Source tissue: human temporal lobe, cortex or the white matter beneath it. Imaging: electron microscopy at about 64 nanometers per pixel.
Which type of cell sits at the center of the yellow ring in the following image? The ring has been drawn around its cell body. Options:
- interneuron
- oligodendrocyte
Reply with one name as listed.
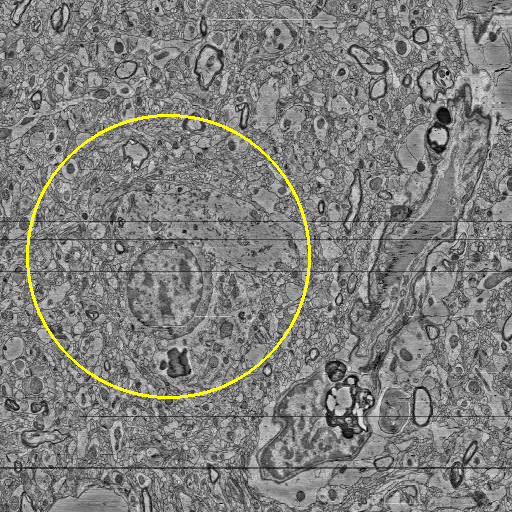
oligodendrocyte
